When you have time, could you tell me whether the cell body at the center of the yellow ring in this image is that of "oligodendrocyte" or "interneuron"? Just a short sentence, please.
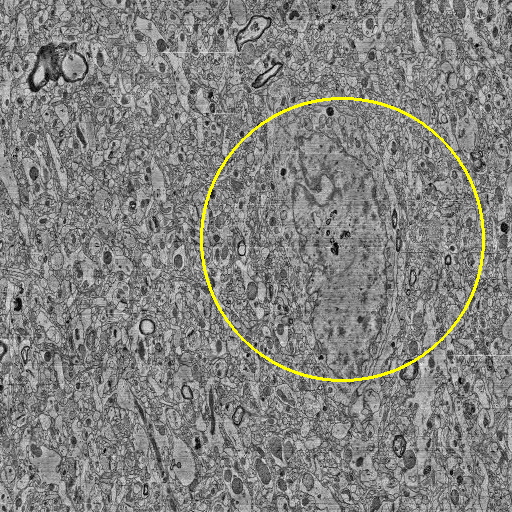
The cell body at the center of the ring is that of an interneuron.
